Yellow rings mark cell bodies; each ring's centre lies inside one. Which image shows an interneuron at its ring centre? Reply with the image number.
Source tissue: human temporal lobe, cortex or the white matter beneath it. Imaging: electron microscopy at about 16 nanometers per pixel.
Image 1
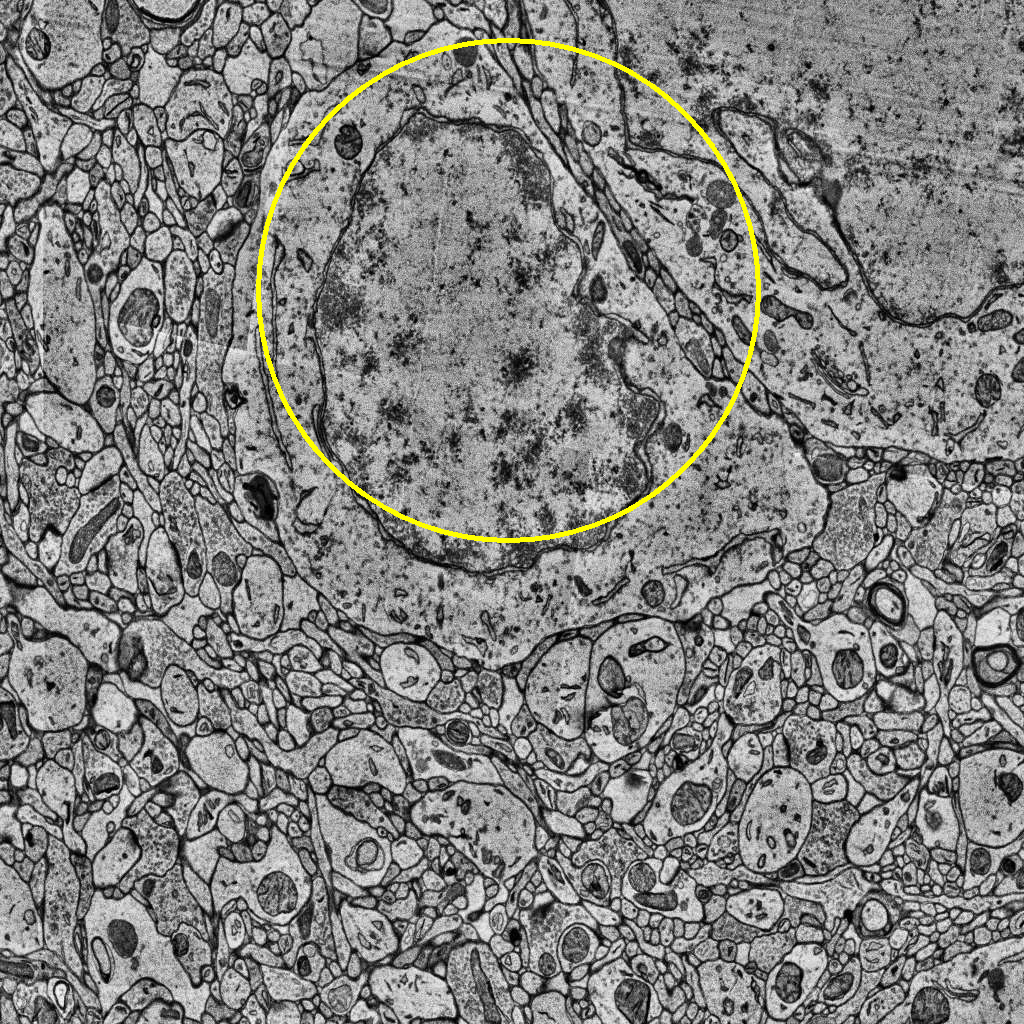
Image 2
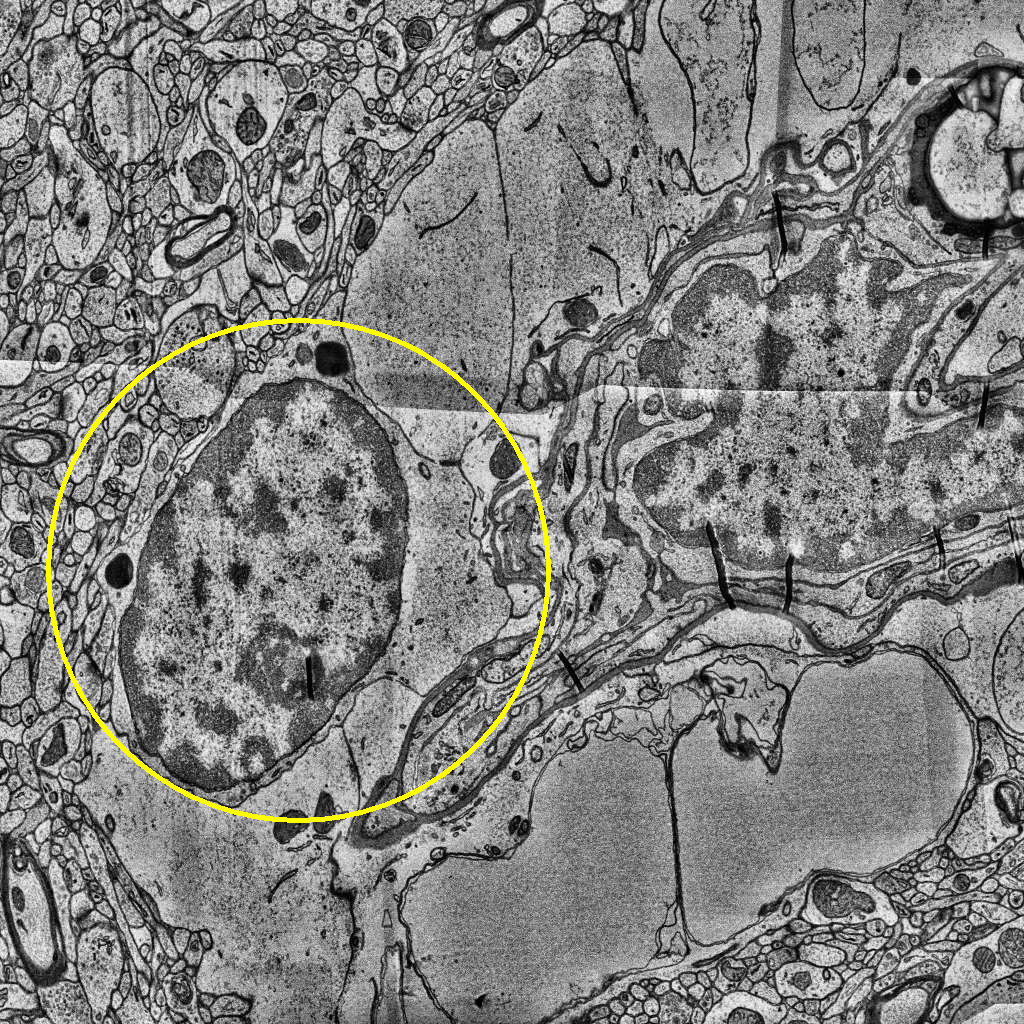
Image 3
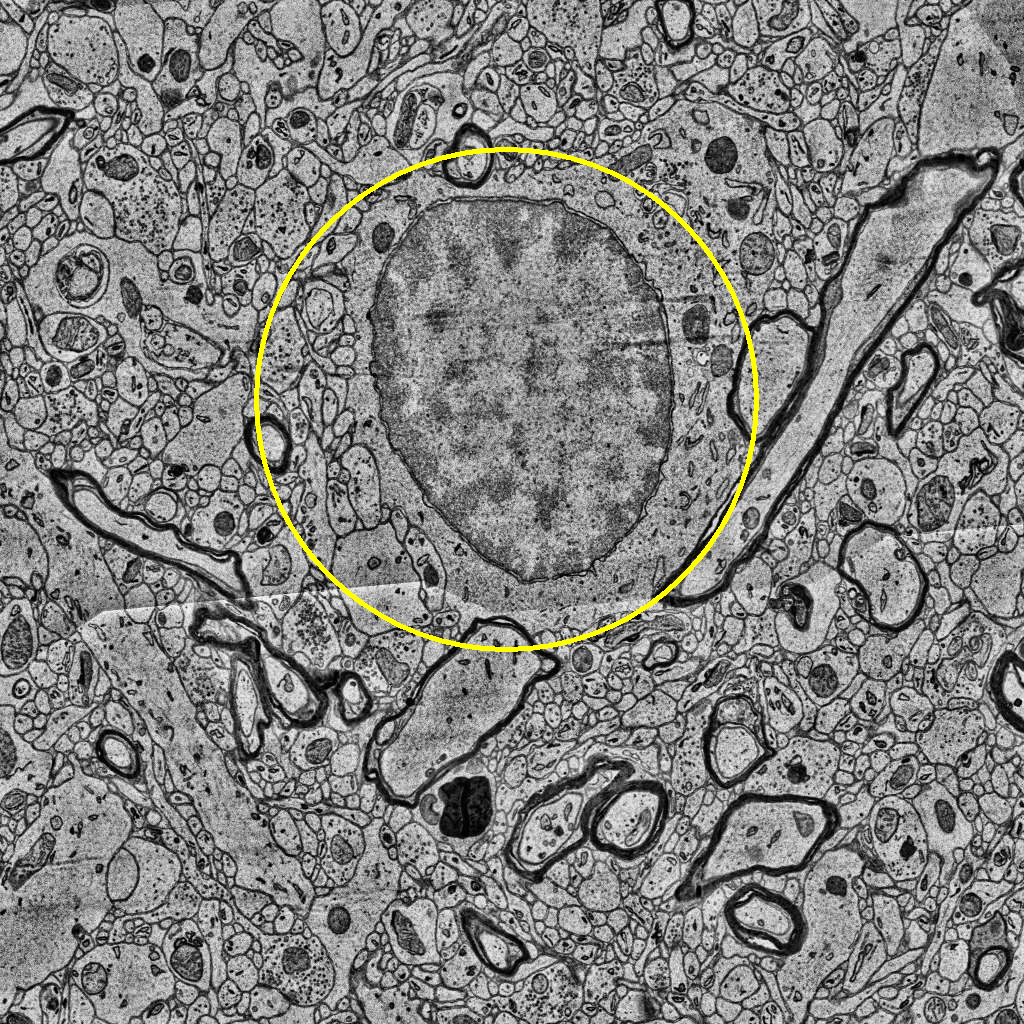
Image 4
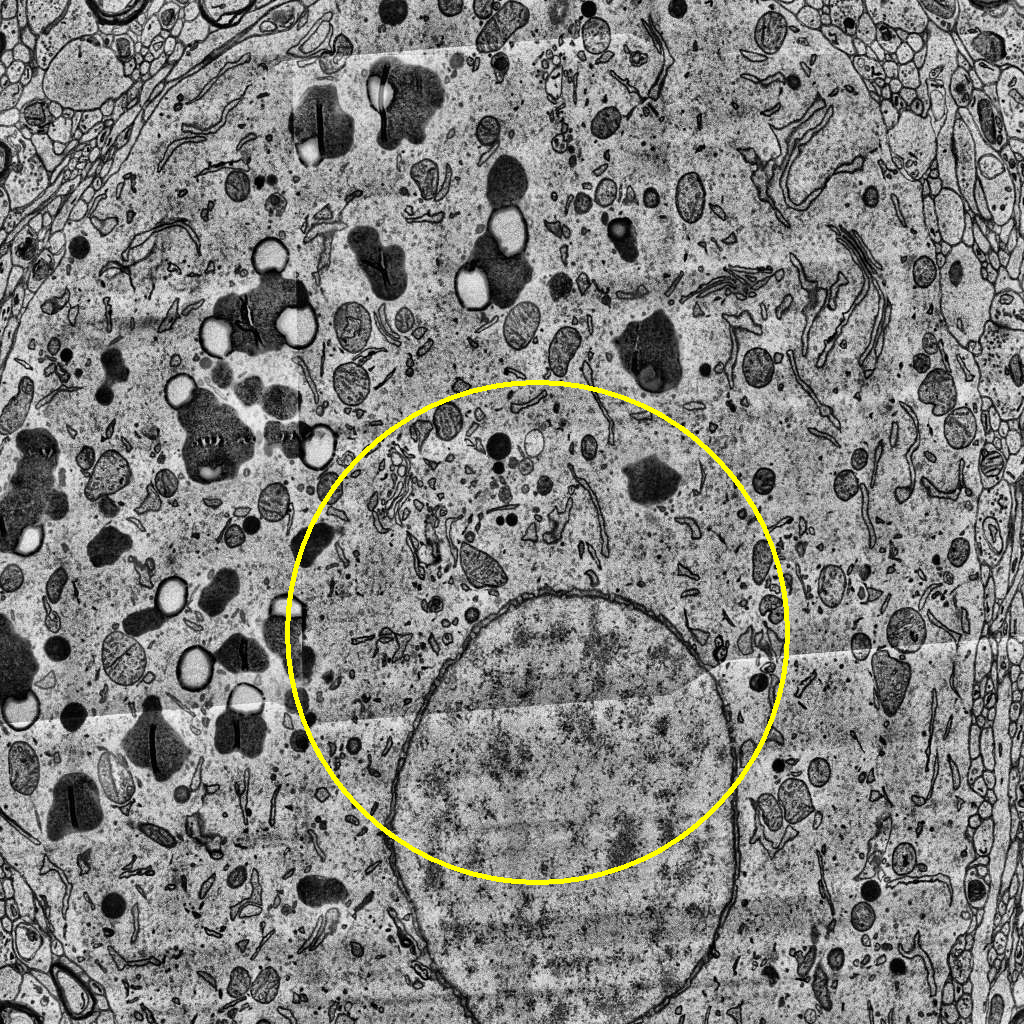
1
